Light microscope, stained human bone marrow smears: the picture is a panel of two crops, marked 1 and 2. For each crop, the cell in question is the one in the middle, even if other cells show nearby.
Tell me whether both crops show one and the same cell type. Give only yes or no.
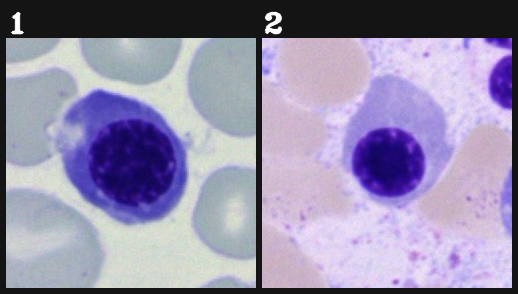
yes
